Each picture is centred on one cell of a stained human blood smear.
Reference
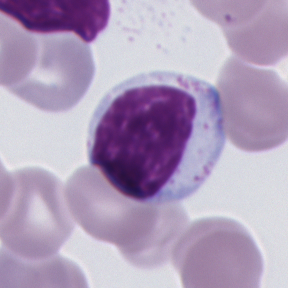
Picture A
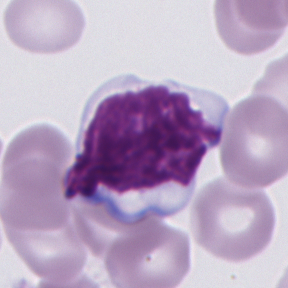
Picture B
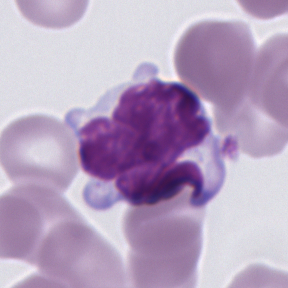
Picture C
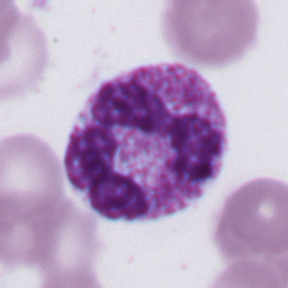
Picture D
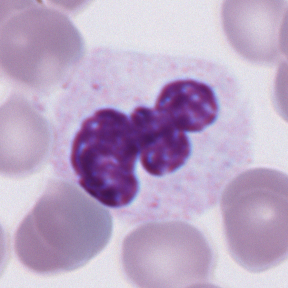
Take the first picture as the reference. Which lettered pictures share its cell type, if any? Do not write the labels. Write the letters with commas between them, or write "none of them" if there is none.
A, B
